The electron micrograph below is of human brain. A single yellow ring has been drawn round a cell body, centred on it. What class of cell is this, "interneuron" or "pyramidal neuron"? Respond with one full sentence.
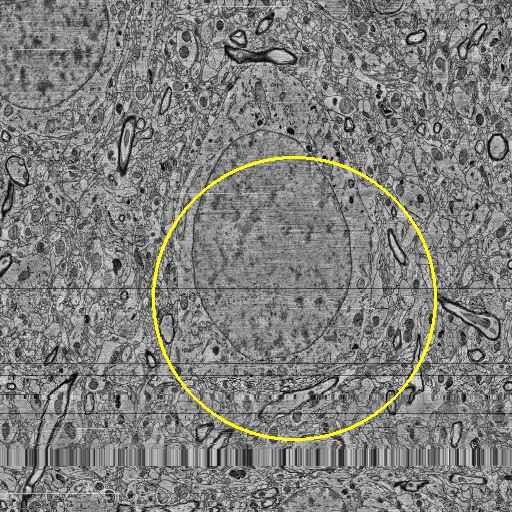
In the micrograph, the cell centred inside the yellow ring is a pyramidal neuron.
